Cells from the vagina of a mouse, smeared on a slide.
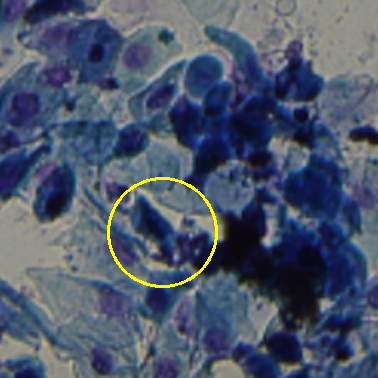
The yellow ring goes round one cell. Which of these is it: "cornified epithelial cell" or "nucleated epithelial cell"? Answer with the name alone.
cornified epithelial cell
